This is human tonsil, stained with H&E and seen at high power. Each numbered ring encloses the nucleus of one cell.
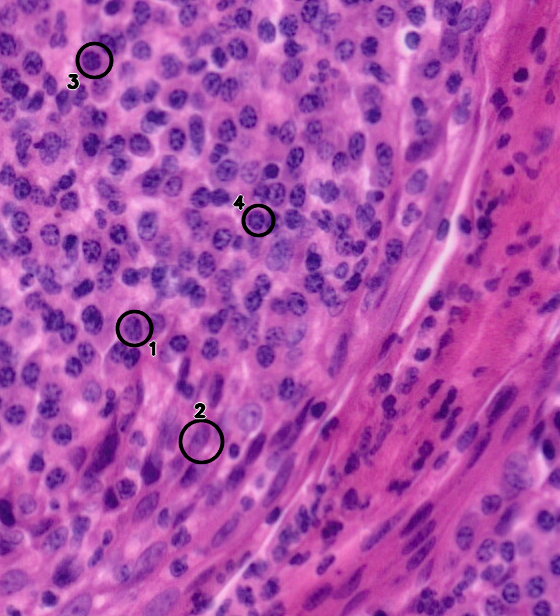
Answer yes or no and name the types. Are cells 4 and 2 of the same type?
No; whereas cell 4 is a plasma cell, cell 2 is a squamous epithelial cell.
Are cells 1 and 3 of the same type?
Yes, cells 1 and 3 both belong to the category of plasma cells.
